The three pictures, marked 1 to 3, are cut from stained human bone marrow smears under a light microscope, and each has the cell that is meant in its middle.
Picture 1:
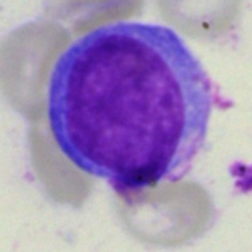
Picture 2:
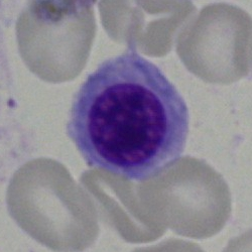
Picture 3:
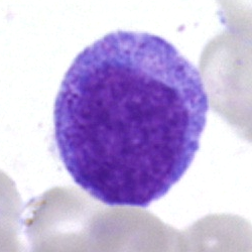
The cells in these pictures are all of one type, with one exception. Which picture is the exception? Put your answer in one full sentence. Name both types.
Picture 2 differs, because its cell is an erythroblast and the rest are blasts.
